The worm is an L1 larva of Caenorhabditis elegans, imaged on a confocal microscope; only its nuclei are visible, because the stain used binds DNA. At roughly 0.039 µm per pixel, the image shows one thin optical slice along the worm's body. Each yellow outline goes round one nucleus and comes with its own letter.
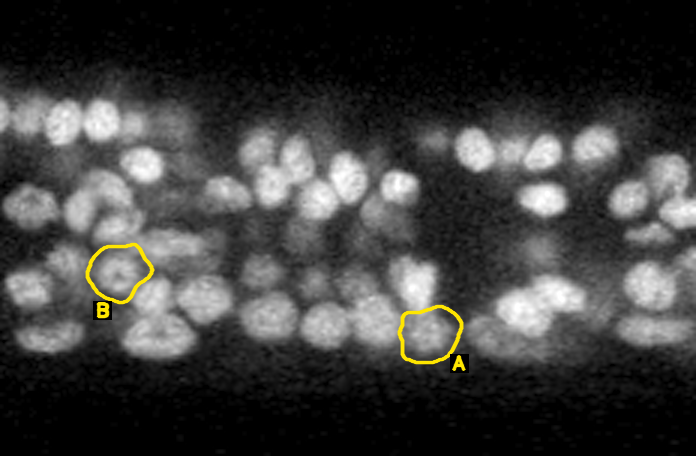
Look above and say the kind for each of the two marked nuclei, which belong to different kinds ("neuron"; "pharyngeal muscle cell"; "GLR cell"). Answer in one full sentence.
A is from a neuron, and B is from a pharyngeal muscle cell.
